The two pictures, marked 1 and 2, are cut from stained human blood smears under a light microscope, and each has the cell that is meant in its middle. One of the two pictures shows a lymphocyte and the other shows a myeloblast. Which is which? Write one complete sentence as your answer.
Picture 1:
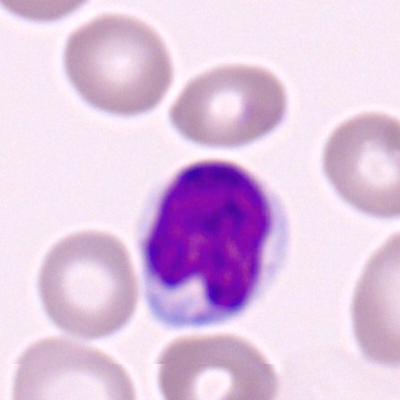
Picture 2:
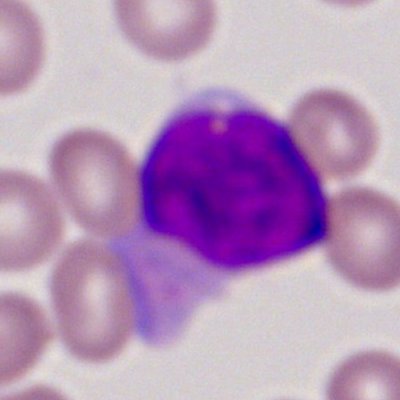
Picture 1 shows a lymphocyte and picture 2 shows a myeloblast.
